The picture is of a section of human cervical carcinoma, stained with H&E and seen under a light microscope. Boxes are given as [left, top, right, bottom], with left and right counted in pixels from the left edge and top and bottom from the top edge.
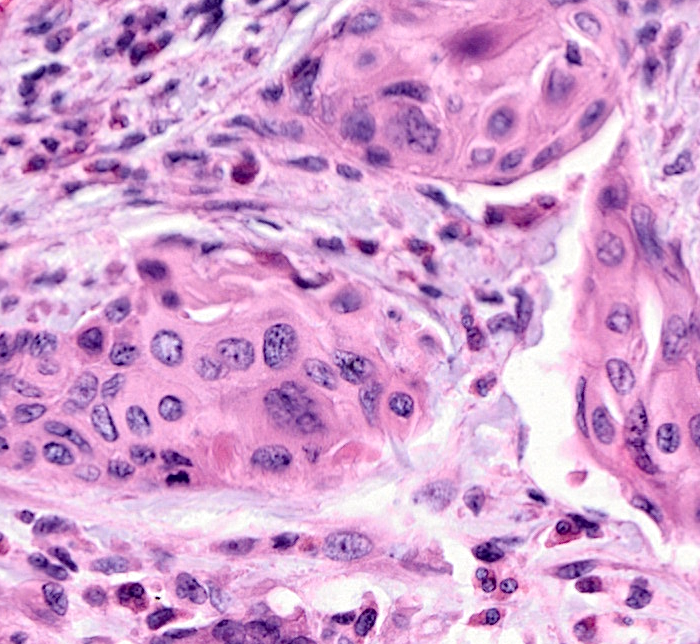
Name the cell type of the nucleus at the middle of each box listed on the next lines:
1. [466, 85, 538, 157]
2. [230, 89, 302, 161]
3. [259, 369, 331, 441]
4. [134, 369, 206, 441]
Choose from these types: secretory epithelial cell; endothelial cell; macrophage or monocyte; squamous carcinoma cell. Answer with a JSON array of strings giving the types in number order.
["squamous carcinoma cell", "endothelial cell", "squamous carcinoma cell", "squamous carcinoma cell"]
